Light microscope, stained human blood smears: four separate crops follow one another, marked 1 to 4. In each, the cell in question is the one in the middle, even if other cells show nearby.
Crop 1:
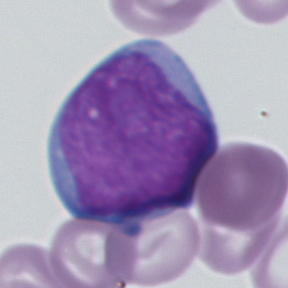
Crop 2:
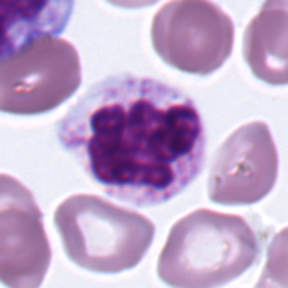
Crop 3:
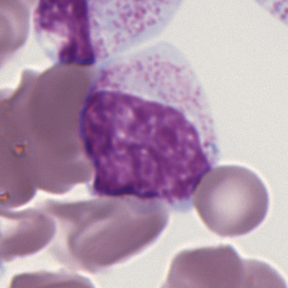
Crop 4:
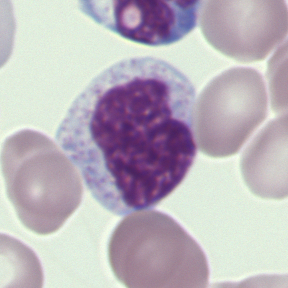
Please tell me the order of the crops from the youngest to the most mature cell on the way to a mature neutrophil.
1, 3, 4, 2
